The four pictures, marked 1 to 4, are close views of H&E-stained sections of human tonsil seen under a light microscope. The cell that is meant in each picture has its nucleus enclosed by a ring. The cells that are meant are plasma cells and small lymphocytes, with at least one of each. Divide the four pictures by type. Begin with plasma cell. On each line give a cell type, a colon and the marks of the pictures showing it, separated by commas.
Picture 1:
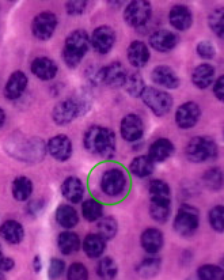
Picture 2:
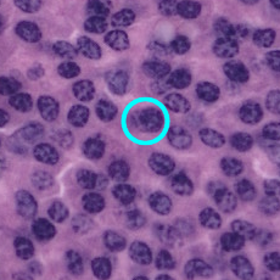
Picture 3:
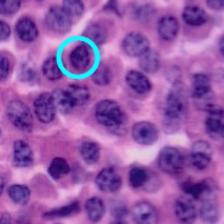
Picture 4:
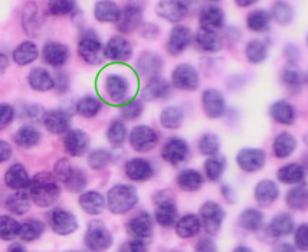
plasma cell: 1, 2, 3
small lymphocyte: 4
